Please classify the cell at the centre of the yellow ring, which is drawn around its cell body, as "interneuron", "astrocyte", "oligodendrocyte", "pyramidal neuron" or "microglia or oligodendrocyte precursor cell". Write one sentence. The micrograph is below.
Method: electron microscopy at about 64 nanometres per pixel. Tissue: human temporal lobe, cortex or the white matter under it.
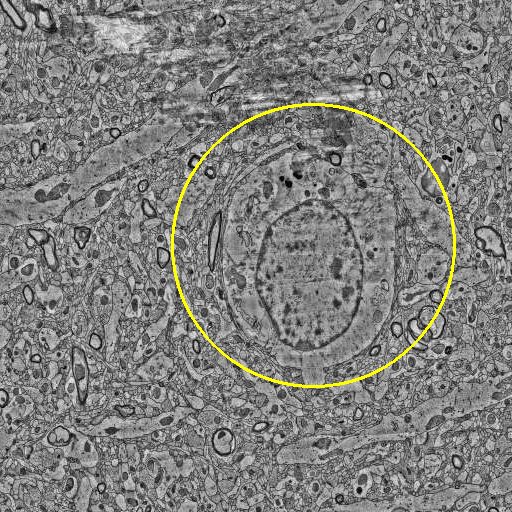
The cell at the ring's centre is classified as an astrocyte.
